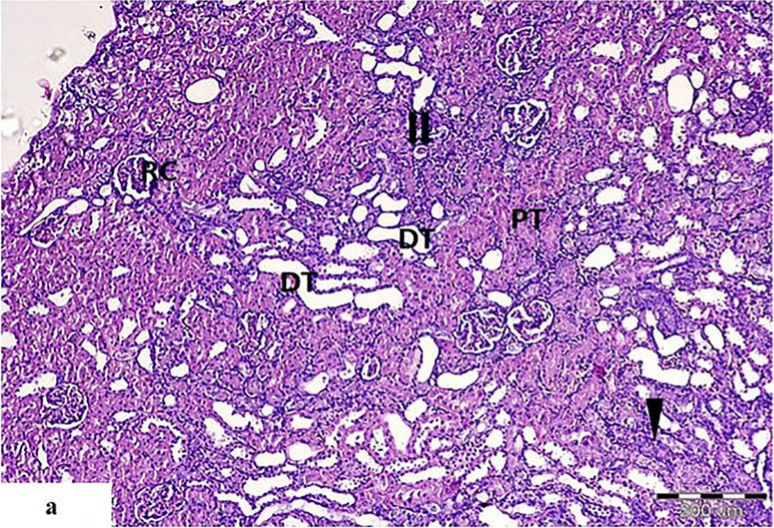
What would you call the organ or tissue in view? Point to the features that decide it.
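Kidney. Many rounded corpuscles with tufts of capillaries lie scattered through the section. The rest of the tissue is packed with cross-cut and longitudinally cut tubules with open lumina.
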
